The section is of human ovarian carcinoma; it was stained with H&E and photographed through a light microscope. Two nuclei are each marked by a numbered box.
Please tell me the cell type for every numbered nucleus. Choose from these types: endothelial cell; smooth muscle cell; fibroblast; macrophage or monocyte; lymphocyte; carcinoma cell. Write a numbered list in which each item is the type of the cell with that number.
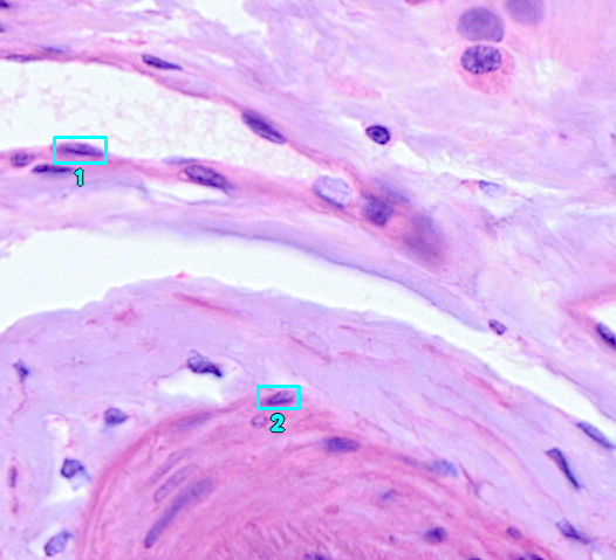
1. endothelial cell
2. smooth muscle cell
